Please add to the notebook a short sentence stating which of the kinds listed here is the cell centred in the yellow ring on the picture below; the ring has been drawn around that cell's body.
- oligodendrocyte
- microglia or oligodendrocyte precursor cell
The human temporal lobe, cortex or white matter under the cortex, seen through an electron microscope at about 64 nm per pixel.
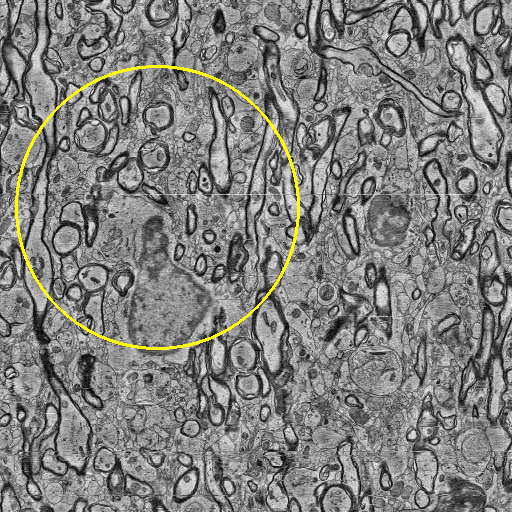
The cell centred in the yellow ring is a microglial cell or oligodendrocyte precursor cell.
